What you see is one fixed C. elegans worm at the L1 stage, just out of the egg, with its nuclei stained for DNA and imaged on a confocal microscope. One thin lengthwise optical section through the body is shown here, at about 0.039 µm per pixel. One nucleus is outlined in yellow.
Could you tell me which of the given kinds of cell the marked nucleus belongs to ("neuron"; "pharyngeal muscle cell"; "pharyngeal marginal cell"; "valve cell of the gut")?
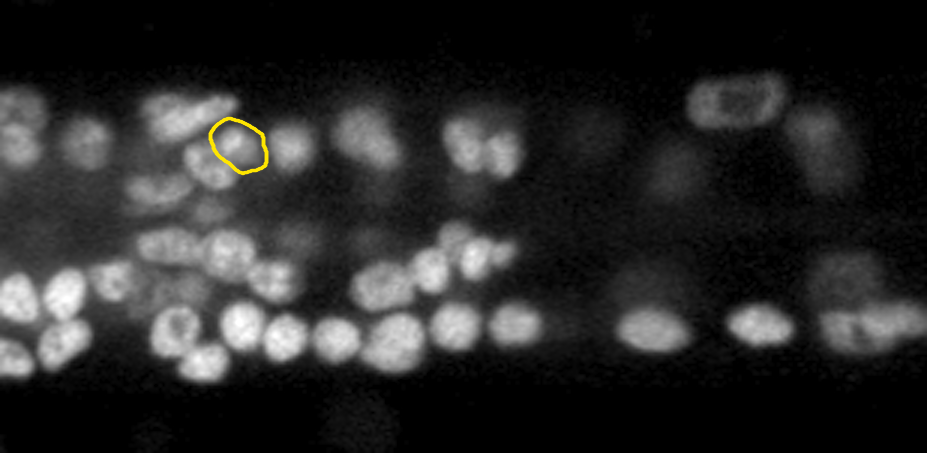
neuron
